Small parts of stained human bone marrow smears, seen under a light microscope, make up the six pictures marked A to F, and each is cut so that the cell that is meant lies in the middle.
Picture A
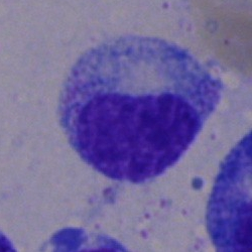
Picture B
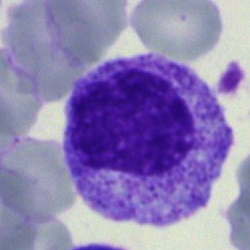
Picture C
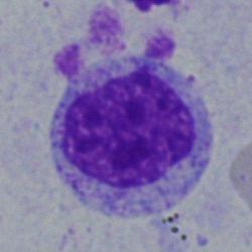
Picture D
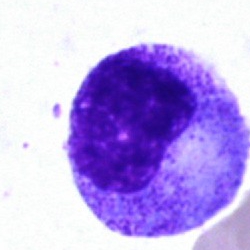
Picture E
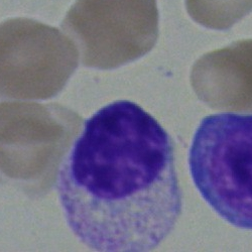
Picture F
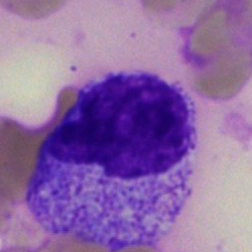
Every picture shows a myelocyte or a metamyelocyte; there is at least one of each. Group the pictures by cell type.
A: metamyelocyte
B: myelocyte
C: myelocyte
D: metamyelocyte
E: myelocyte
F: metamyelocyte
